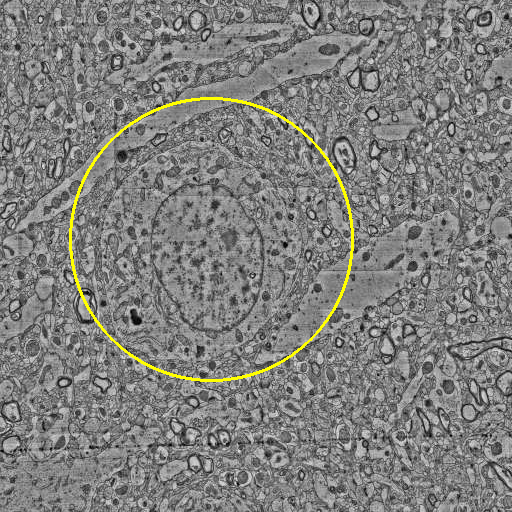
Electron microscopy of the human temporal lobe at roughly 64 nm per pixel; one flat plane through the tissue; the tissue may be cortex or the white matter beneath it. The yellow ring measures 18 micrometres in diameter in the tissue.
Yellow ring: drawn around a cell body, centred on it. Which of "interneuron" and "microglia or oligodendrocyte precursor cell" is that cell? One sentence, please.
That cell body is from an interneuron.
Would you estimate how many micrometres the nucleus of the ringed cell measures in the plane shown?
Approximately 10 x 7 micrometres in this plane.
